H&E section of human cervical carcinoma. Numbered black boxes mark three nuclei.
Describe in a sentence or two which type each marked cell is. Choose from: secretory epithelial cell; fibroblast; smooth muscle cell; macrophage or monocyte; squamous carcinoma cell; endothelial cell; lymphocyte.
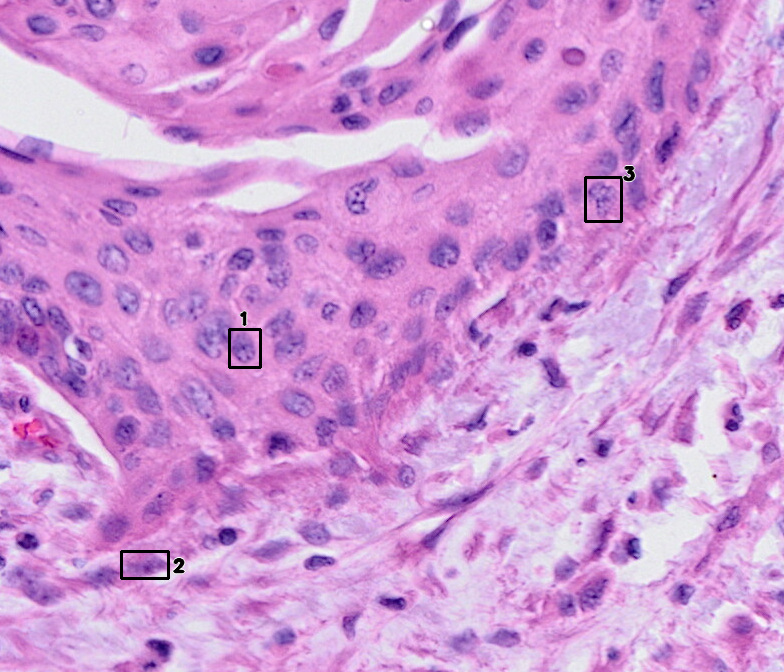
Cells 1 and 3 are squamous carcinoma cells. Cell 2 is a fibroblast.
